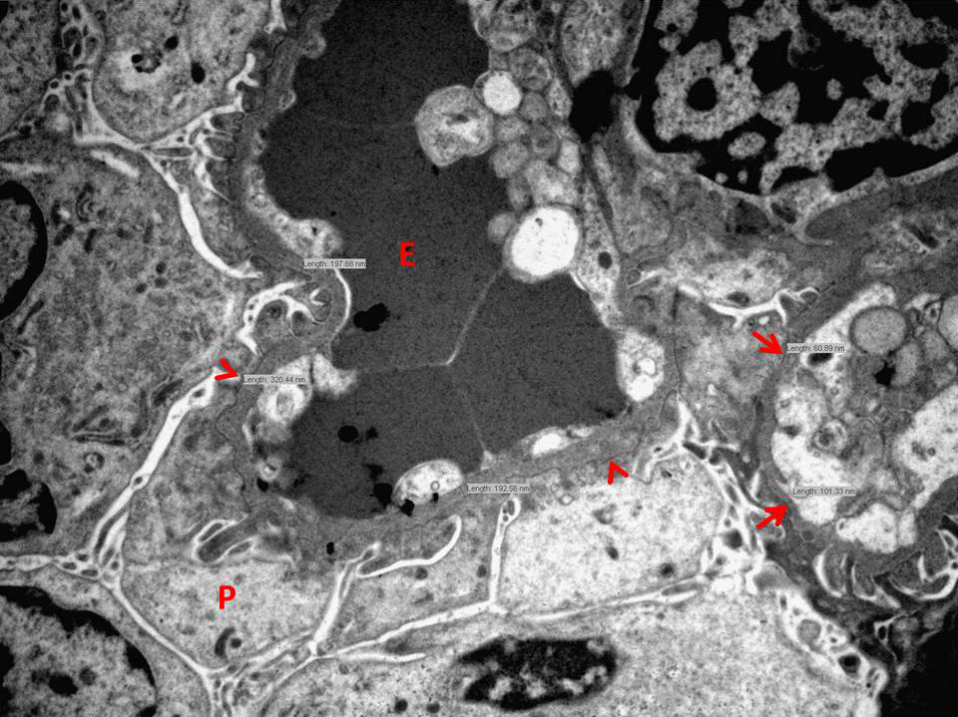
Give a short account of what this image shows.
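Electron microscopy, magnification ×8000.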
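Transmission electron micrograph of a glomerular capillary loop whose lumen is filled by an electron-dense, anucleate erythrocyte. The capillary is lined by a thin endothelial layer resting on the glomerular basement membrane. The basement membrane is uneven: it is narrow in some stretches and broadened, with a layered look, in others.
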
